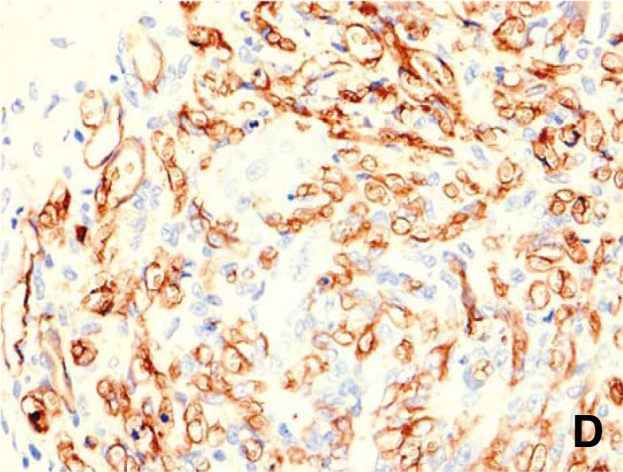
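Here the tumor consists of densely packed oval-to-spindle tumor cells, most of them rimmed by brown staining. The brown lies in the cytoplasm and cell borders, leaving the oval pale nuclei visible inside as clear or bluish centres. The cells lie in cords and small clusters, and in places they line narrow slit-like spaces, like tiny channels. Between the stained groups there are pale areas with fewer cells and some unstained blue nuclei.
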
